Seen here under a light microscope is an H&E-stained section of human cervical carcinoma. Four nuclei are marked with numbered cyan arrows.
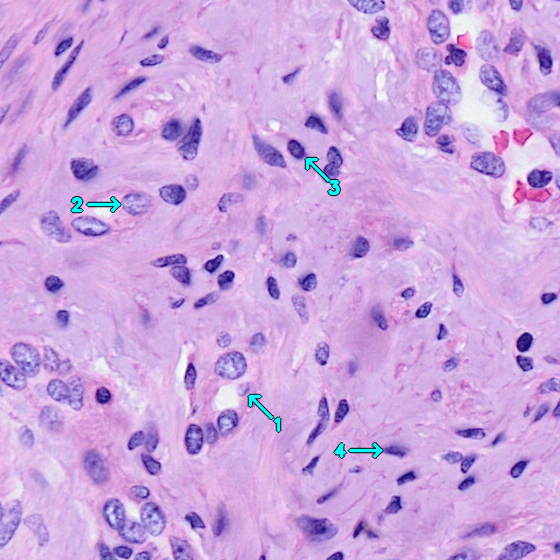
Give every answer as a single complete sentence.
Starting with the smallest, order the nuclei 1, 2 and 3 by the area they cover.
By area, going up from the smallest, they rank 1, 3, 2.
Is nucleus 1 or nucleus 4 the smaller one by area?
Number 1 is smaller, since number 4 takes up about 2 times as much area.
